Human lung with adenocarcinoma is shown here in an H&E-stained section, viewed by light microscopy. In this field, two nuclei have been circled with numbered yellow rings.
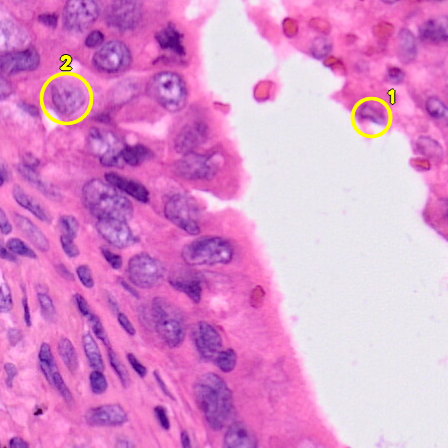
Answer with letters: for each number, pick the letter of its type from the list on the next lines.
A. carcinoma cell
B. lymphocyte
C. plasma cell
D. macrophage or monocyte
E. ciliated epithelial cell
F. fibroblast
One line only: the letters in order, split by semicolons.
D; A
